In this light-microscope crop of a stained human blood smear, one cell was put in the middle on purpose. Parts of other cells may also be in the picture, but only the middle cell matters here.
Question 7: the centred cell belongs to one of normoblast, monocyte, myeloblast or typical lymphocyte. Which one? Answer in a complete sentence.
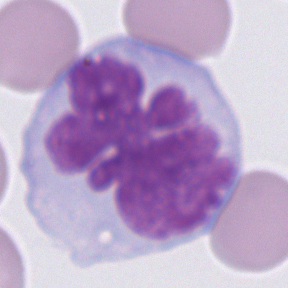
In this smear crop, the middle cell is a monocyte.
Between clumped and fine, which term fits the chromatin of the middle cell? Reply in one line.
There is no coarse clumping; the chromatin stays fine throughout.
